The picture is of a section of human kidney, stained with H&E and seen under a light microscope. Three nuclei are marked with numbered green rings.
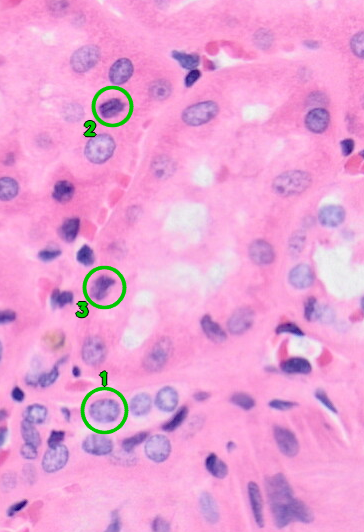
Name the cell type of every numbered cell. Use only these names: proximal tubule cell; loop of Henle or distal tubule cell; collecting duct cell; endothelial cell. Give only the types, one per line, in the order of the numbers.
collecting duct cell
proximal tubule cell
proximal tubule cell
